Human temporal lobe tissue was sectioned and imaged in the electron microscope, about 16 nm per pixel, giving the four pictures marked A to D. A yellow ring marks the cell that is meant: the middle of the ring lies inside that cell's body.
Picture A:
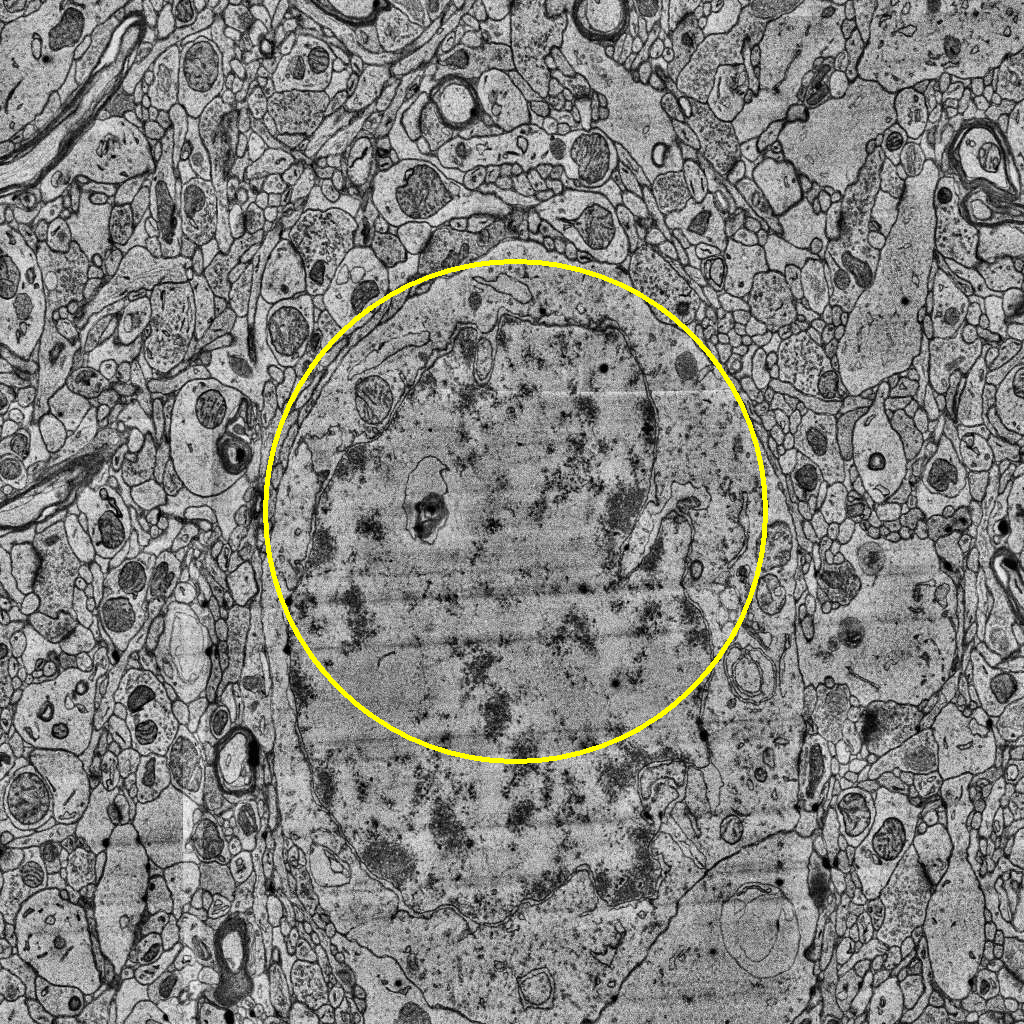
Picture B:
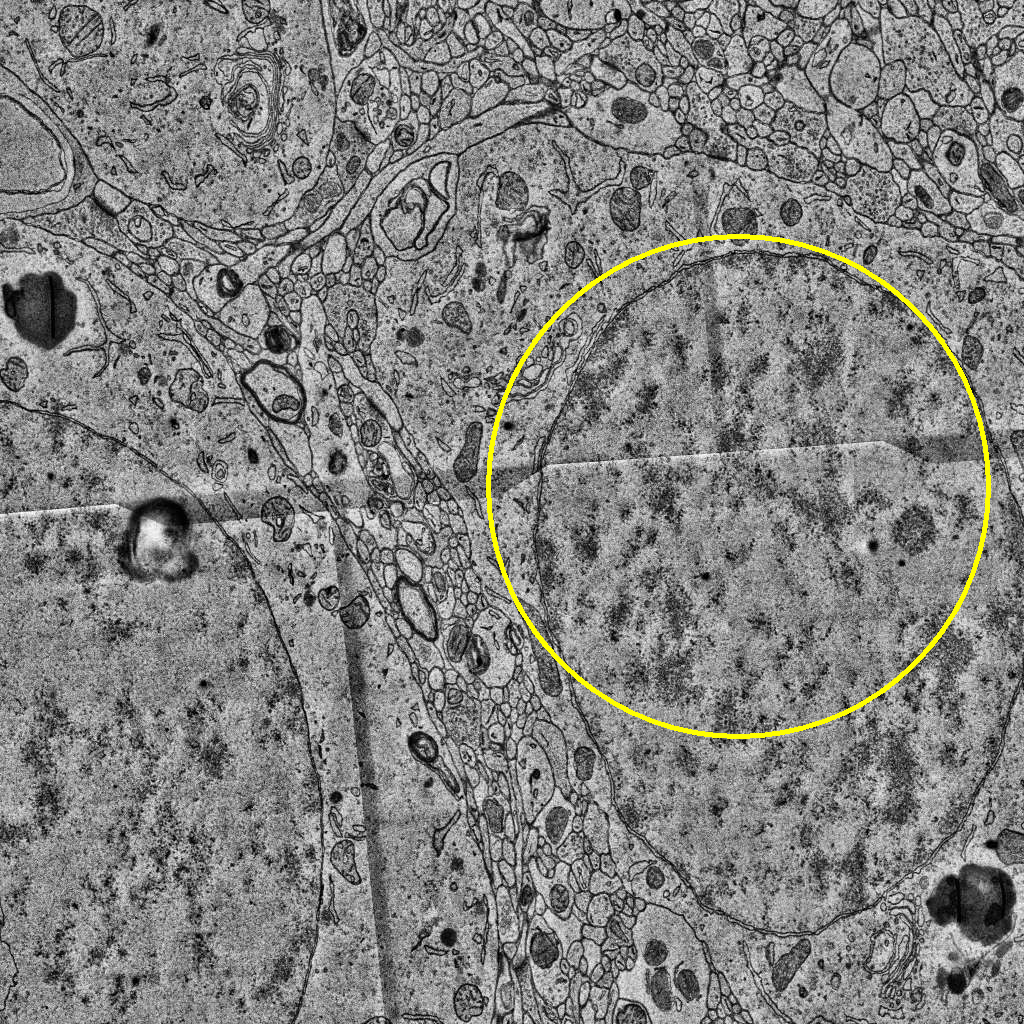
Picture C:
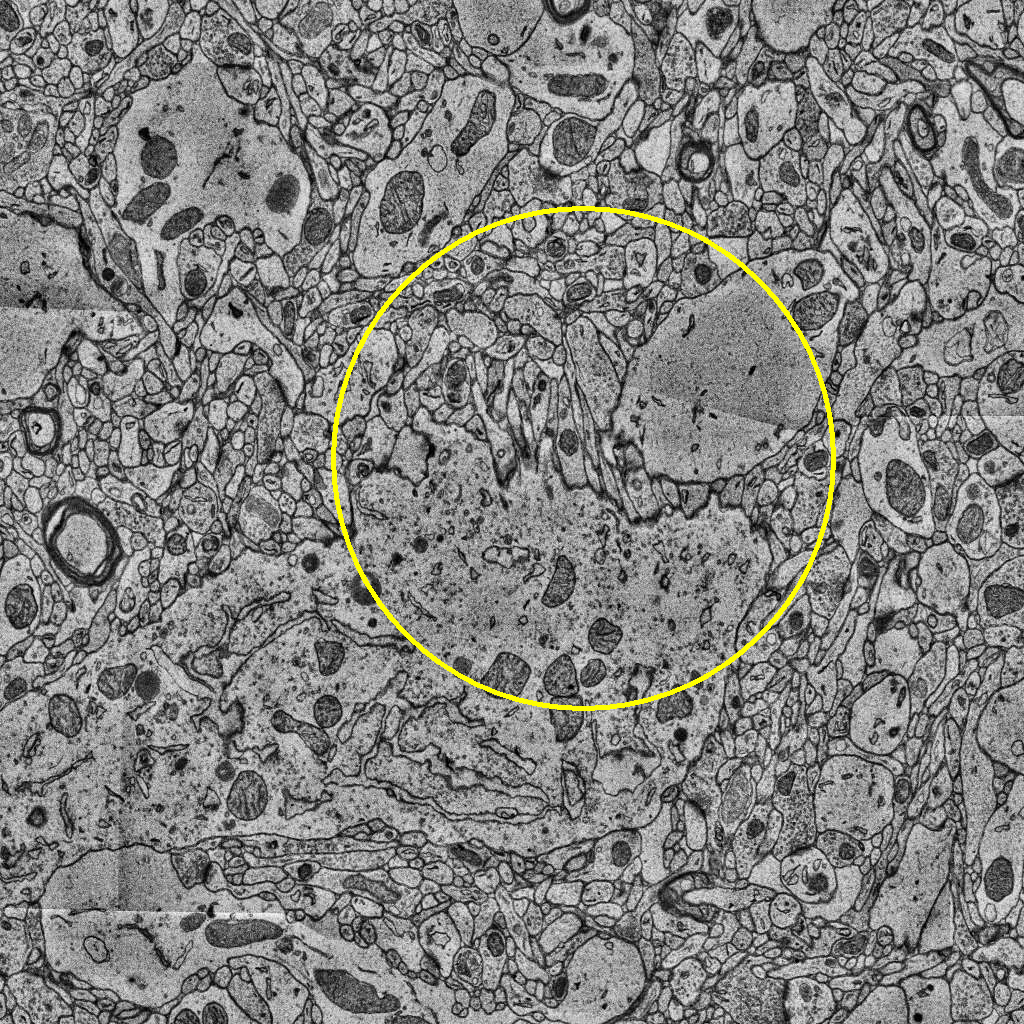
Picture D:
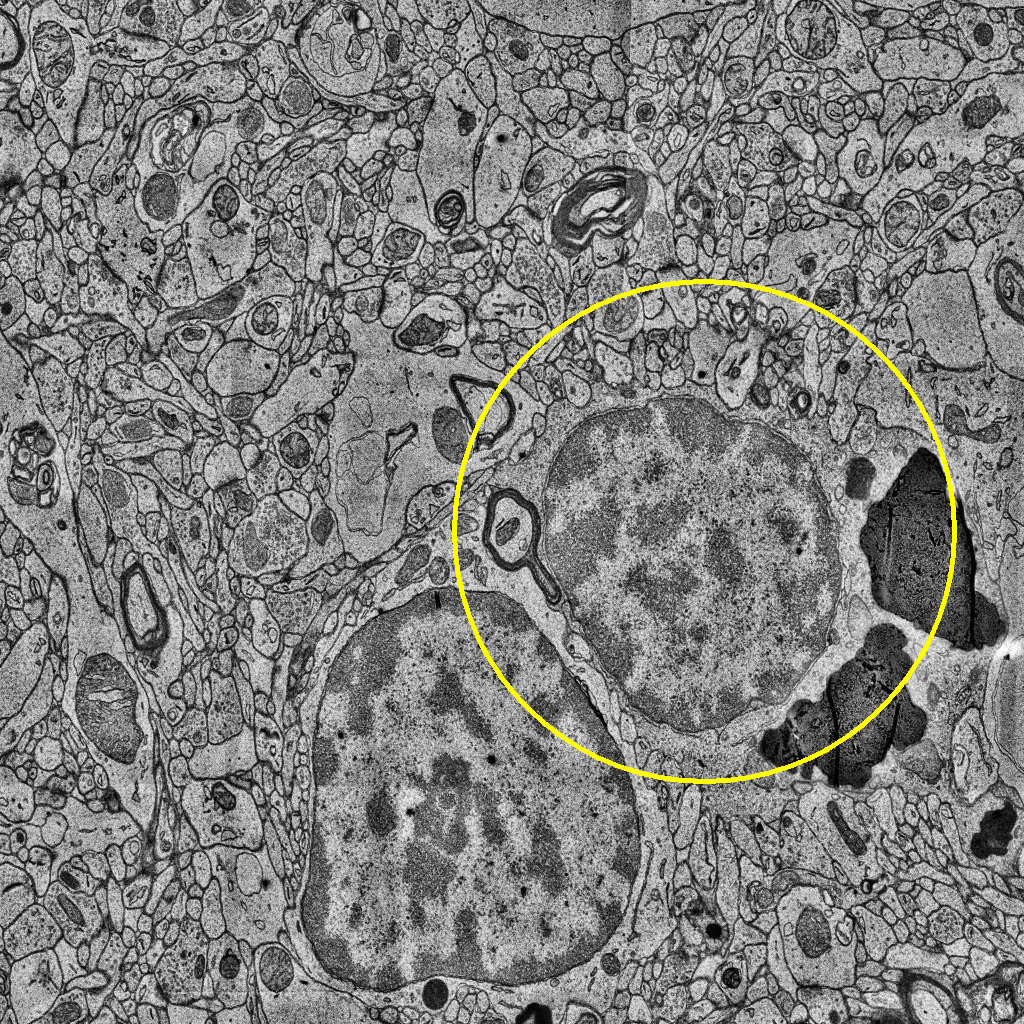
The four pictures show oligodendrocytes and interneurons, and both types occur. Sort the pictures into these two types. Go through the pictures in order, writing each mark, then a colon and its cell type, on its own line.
A: interneuron
B: interneuron
C: interneuron
D: oligodendrocyte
